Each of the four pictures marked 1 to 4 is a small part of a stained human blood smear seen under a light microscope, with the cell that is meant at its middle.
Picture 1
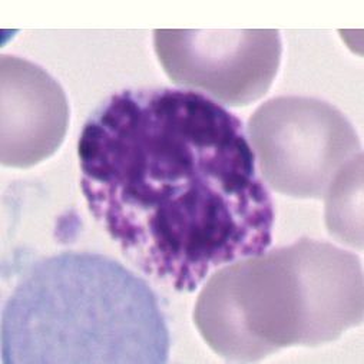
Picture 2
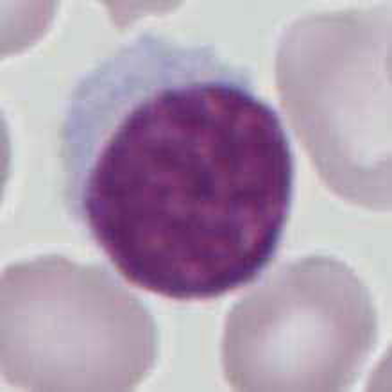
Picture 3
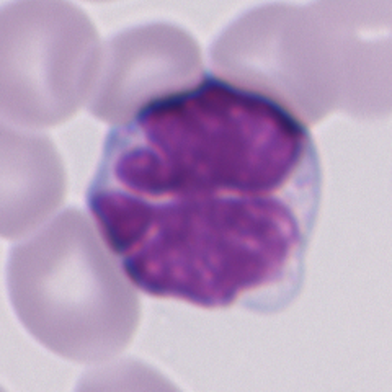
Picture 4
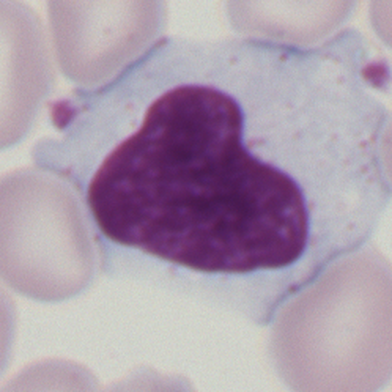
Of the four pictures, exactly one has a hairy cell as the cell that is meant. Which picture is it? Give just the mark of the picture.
2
